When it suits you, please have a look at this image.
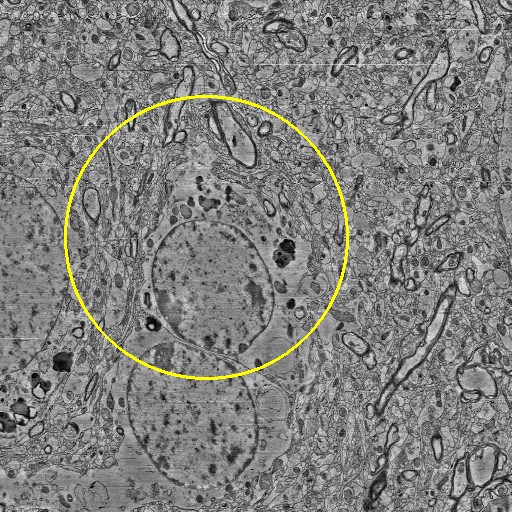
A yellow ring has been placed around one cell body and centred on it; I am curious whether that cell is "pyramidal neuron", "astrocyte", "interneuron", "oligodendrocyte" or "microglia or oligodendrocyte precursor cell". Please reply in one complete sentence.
The ringed cell, an astrocyte, has its body at the centre of the yellow ring.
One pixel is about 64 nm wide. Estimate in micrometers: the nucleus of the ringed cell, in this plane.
About 9 by 7 micrometers for the nucleus, in this plane.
